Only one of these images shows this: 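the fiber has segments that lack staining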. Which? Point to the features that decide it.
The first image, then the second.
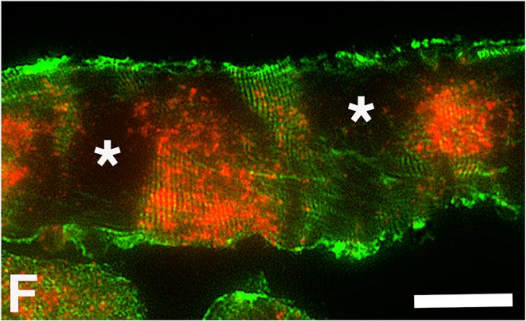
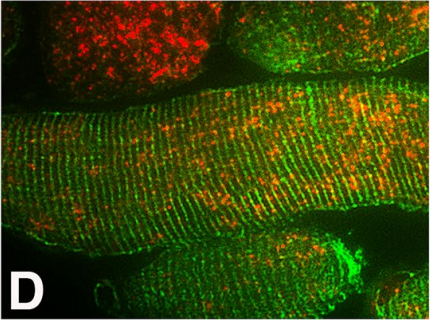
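First image: dark segments without green or red interrupt the fiber.
Answer: the first image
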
